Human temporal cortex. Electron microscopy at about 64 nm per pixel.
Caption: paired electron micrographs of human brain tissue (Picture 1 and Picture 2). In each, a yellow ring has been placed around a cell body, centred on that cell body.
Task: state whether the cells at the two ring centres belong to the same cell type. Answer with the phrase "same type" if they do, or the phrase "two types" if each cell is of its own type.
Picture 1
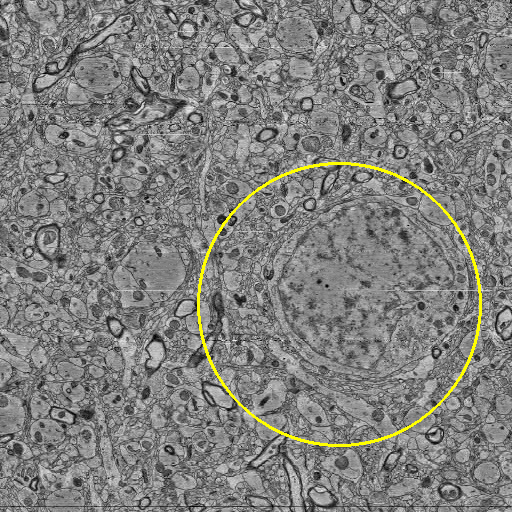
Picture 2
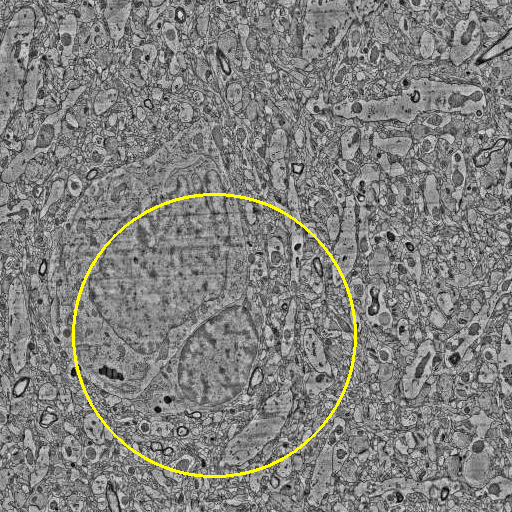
two types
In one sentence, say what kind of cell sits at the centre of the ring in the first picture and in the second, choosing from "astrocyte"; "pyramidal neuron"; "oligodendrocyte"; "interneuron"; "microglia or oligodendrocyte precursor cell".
The first picture's ringed cell is an interneuron, while the second picture's is an oligodendrocyte.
